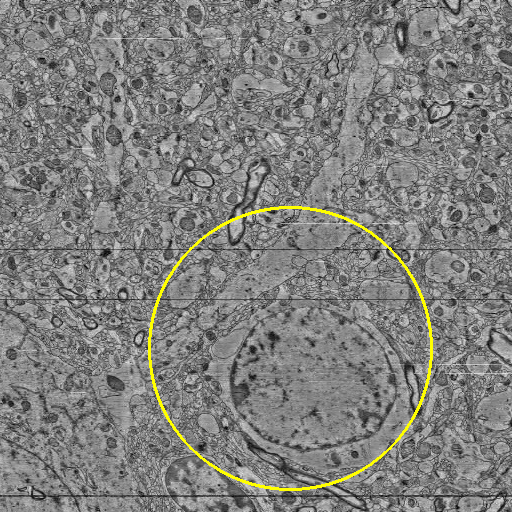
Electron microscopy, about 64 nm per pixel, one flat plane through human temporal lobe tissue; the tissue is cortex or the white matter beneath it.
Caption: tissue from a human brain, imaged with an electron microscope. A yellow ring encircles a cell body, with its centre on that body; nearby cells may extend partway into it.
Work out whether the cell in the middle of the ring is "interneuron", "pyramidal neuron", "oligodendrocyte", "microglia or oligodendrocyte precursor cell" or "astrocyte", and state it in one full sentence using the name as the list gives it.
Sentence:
In the picture, the cell that the yellow ring surrounds at its centre is an astrocyte.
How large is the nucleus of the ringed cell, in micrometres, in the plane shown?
In this plane, the nucleus of the cell at the centre of the ring is about 10 micrometres across.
